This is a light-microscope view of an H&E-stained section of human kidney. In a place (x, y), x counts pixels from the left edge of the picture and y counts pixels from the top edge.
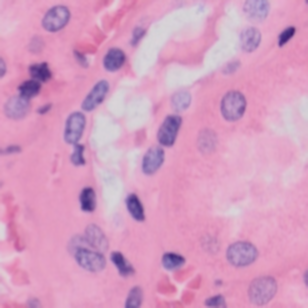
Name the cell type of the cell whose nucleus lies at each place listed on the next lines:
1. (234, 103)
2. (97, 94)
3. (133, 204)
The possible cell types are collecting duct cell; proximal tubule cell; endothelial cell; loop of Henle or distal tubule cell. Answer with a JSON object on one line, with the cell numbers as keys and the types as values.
{"1": "proximal tubule cell", "2": "collecting duct cell", "3": "collecting duct cell"}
